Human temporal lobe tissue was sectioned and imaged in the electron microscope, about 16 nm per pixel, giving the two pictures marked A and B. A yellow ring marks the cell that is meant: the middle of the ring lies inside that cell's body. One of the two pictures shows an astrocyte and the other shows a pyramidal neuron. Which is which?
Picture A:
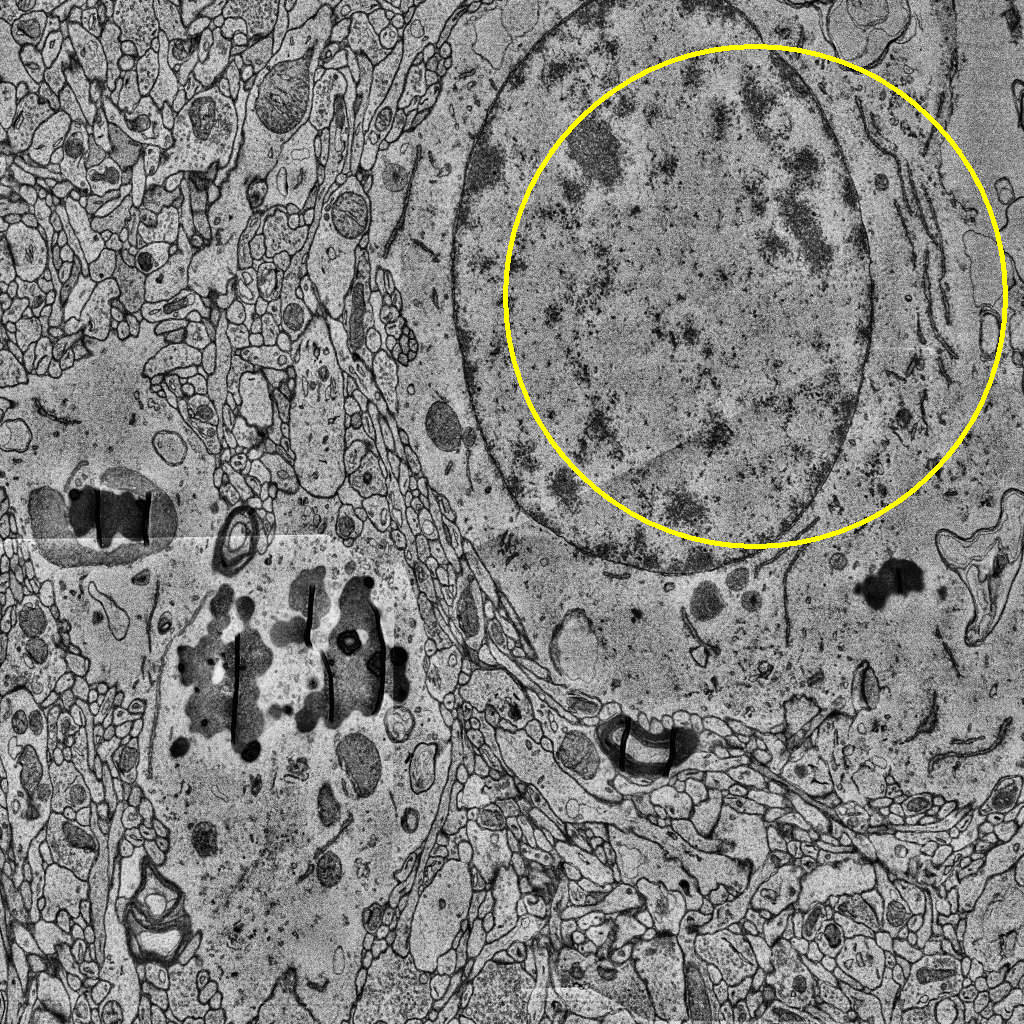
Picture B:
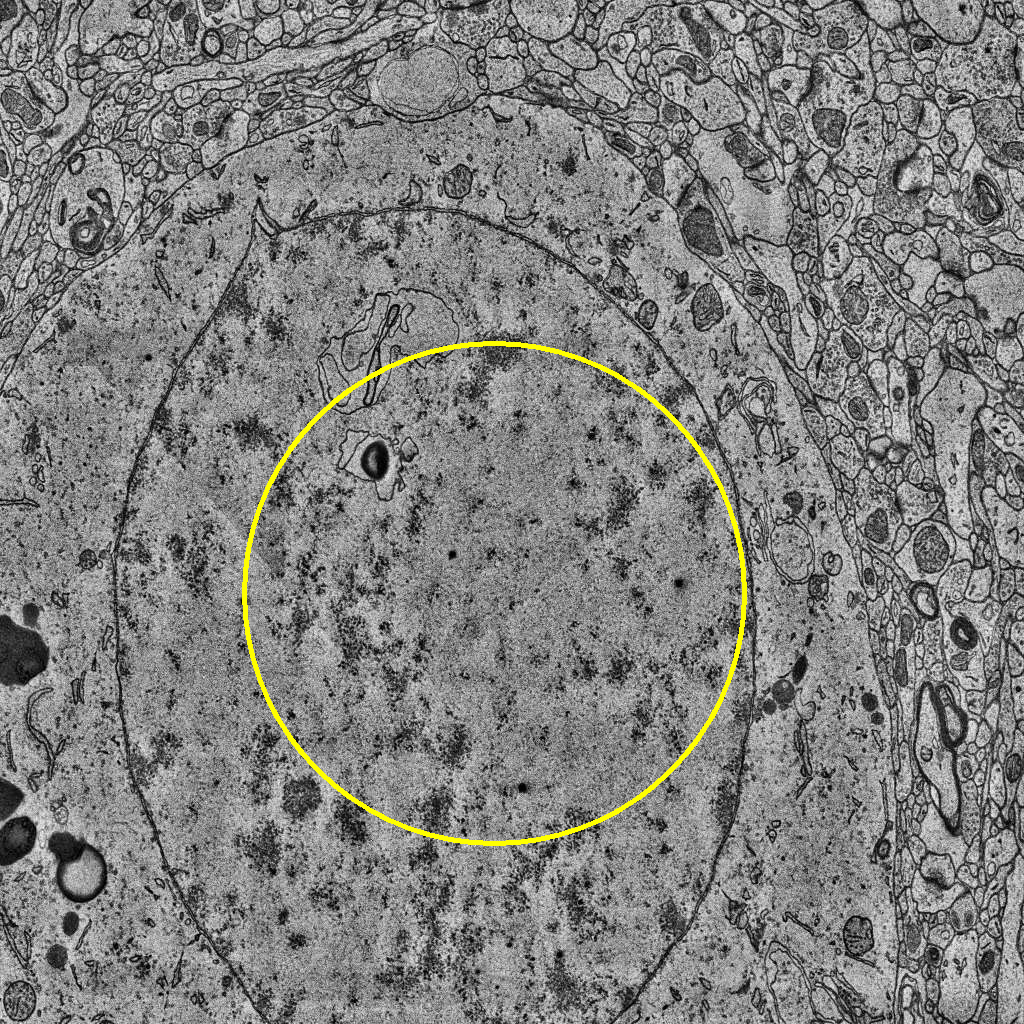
Picture A is of an astrocyte, and picture B is of a pyramidal neuron.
